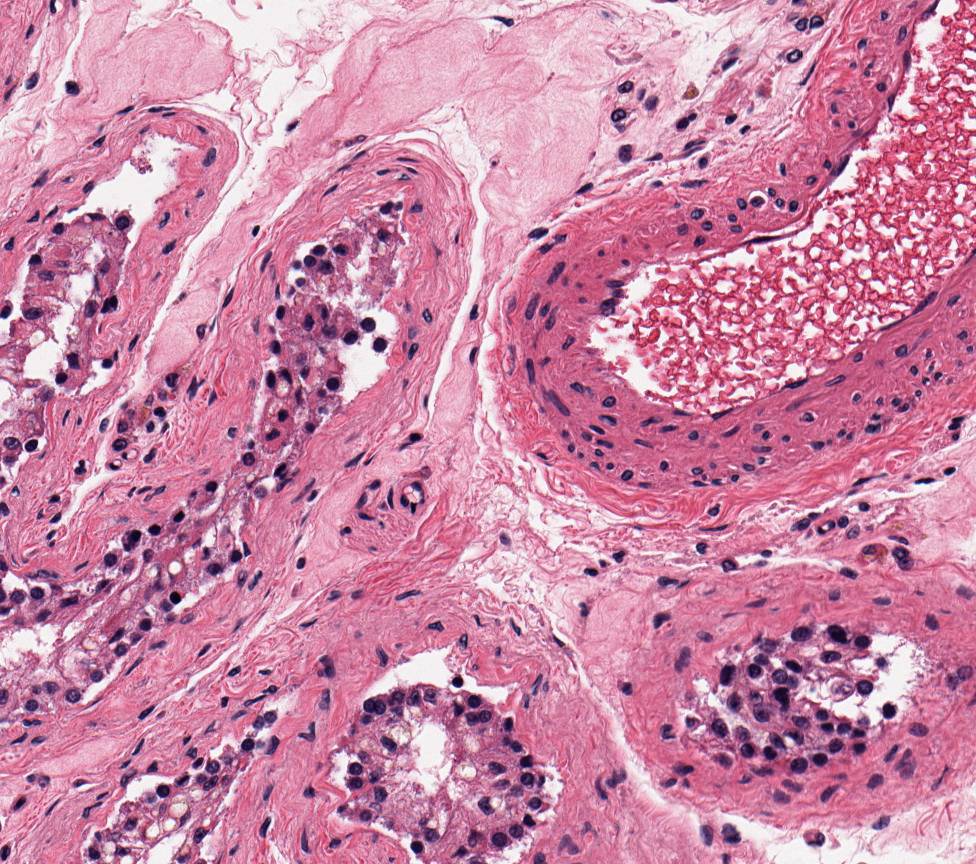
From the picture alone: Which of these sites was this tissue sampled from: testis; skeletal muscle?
testis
